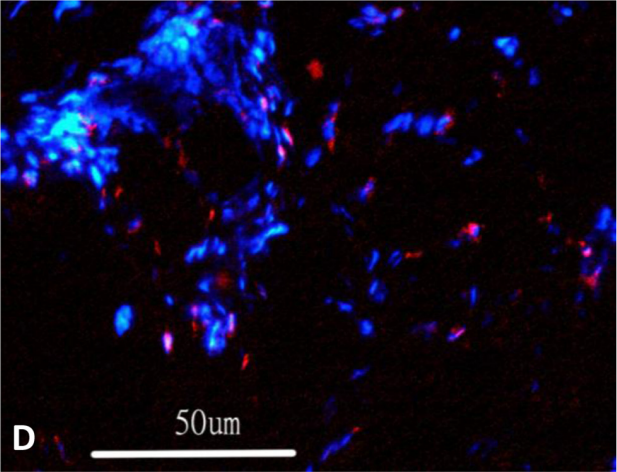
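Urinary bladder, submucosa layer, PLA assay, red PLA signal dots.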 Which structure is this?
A: microvessels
